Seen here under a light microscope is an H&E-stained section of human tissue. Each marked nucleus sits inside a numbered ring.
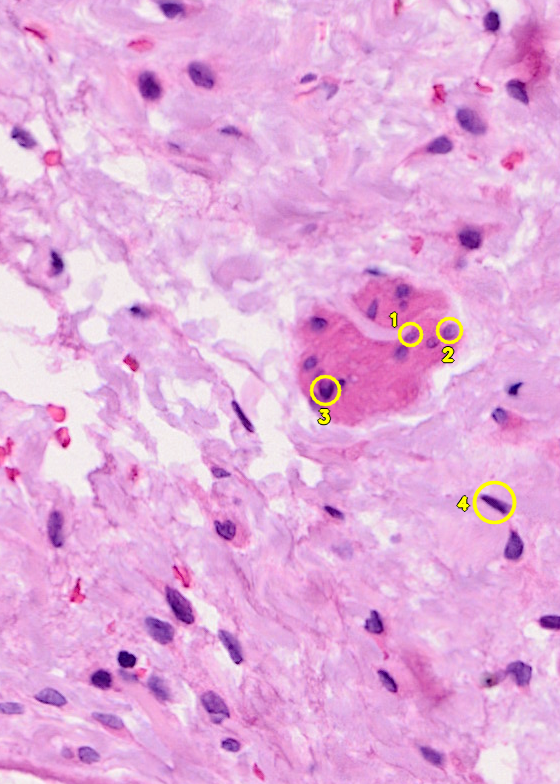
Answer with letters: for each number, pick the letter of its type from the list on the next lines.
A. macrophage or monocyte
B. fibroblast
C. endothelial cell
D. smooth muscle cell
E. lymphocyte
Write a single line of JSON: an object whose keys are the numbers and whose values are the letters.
{"1": "D", "2": "D", "3": "D", "4": "B"}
